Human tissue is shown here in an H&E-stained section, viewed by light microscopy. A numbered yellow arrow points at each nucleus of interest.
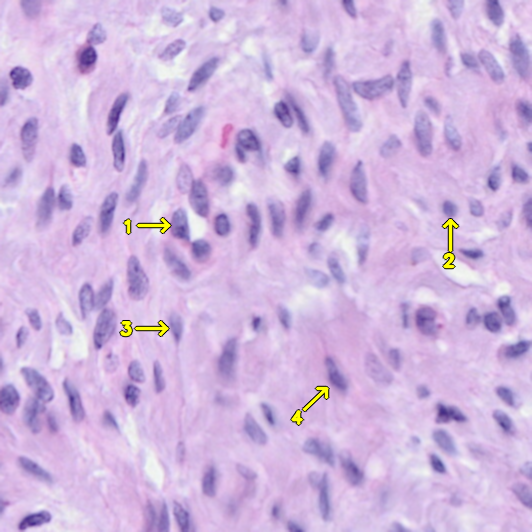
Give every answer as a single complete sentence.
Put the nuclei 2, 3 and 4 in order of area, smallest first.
By area, going up from the smallest, they rank 2, 3, 4.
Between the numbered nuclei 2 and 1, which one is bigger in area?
Nucleus 1 is the larger one, covering about 2.5 times the area of nucleus 2.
